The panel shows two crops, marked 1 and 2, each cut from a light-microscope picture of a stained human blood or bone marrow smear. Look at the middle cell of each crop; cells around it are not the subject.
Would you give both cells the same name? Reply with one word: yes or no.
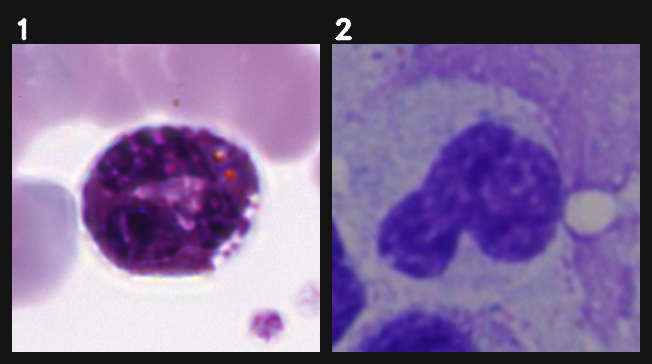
no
